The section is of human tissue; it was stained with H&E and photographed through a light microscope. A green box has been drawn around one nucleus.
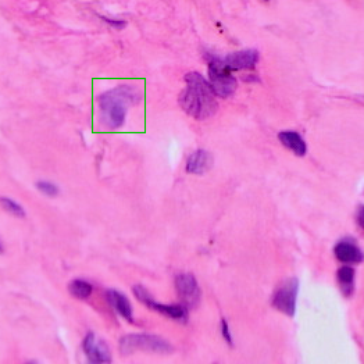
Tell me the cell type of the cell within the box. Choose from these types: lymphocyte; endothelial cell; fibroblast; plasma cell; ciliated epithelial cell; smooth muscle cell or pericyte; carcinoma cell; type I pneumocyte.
fibroblast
